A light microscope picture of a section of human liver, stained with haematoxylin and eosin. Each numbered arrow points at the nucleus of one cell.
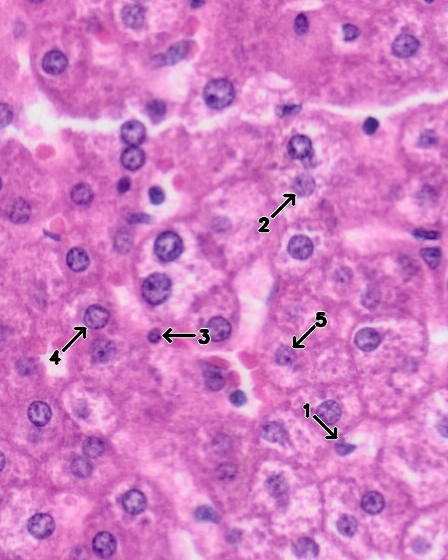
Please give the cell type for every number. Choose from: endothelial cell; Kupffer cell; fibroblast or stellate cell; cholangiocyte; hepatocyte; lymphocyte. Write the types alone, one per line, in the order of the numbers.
endothelial cell
hepatocyte
lymphocyte
hepatocyte
hepatocyte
